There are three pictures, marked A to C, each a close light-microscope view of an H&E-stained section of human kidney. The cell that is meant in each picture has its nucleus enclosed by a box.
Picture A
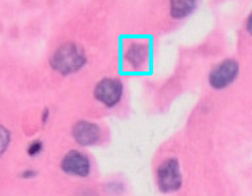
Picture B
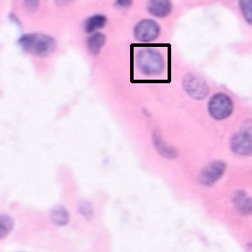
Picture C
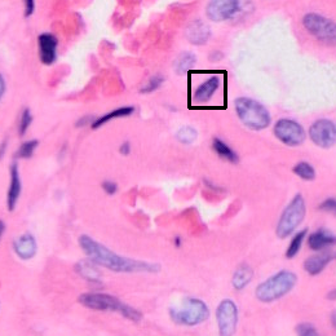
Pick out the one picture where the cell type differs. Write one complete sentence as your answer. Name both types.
The different one is picture A; it shows a “loop of Henle or distal tubule cell”, whereas all the others show collecting duct cells.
